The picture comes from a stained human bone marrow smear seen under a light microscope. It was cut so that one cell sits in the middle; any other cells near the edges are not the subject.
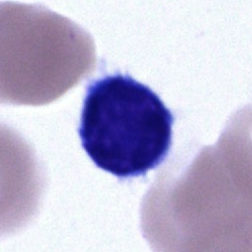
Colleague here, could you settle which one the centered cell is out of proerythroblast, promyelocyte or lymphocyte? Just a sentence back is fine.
The cell at the middle of the frame should be recorded as a lymphocyte.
